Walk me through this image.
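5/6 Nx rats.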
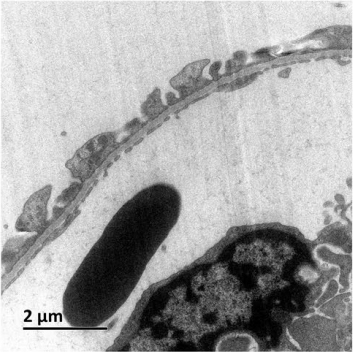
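This transmission electron micrograph shows the wall of a glomerular capillary loop of the kidney. A long, curved basement membrane runs diagonally across the upper part of the field. On its outer side the podocyte foot processes are mostly broad and flattened, and the regular row of separate, finger-like processes is largely missing. An elongated, dark erythrocyte lies in the pale capillary lumen. Below it is a cell nucleus with clumped, dark chromatin.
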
